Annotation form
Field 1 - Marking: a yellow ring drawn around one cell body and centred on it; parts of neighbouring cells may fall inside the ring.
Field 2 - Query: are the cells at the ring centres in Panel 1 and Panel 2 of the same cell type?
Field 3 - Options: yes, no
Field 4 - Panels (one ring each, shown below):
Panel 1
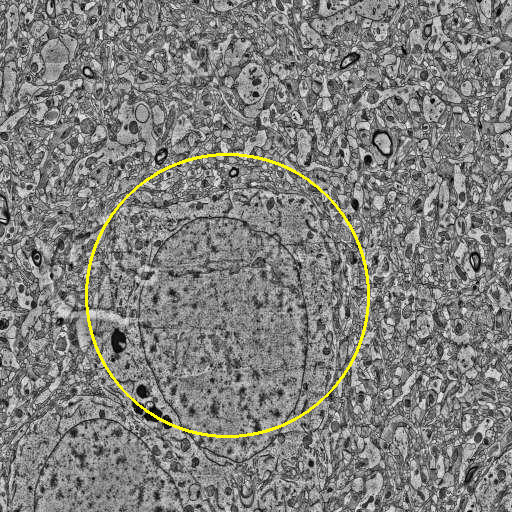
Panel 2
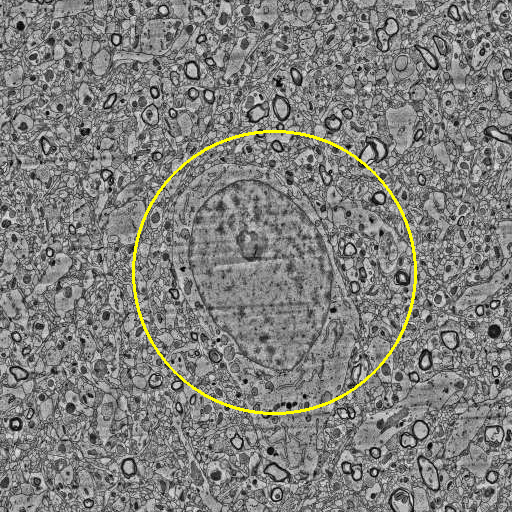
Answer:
no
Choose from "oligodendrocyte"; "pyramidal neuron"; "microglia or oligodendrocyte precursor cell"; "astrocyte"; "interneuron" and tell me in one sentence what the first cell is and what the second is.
What the first ring is centred on is a pyramidal neuron; what the second ring is centred on is an interneuron.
